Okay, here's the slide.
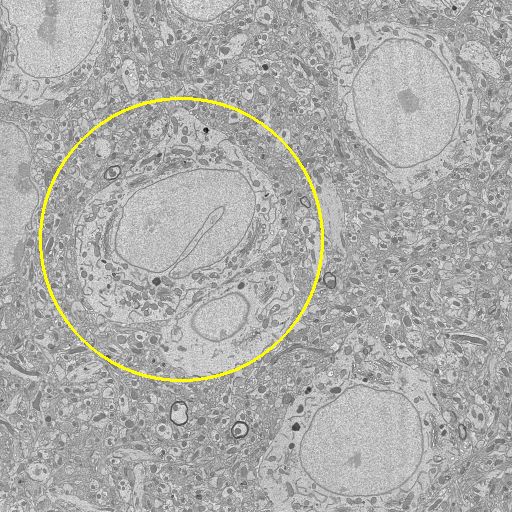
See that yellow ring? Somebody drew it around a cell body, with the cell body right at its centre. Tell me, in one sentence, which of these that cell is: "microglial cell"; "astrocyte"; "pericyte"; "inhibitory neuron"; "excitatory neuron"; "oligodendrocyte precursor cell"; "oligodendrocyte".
The cell in the middle of the ring is an inhibitory neuron.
